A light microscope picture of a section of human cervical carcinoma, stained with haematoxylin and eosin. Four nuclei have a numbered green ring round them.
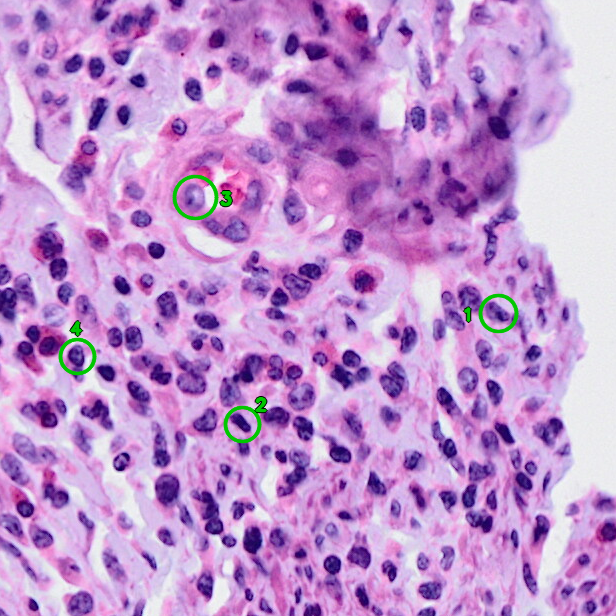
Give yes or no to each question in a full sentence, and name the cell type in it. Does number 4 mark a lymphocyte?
Yes. The cell carrying number 4 is a lymphocyte.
